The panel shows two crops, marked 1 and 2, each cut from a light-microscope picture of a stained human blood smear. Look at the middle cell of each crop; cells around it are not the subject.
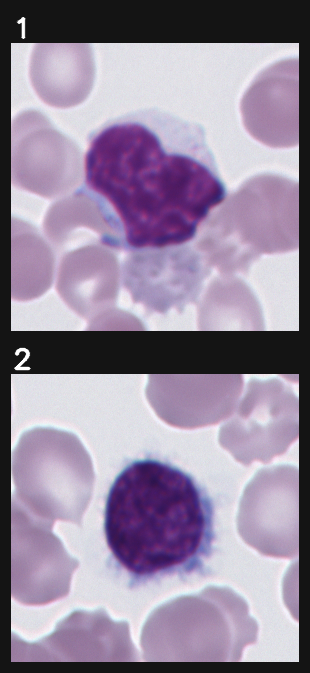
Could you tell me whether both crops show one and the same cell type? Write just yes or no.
no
